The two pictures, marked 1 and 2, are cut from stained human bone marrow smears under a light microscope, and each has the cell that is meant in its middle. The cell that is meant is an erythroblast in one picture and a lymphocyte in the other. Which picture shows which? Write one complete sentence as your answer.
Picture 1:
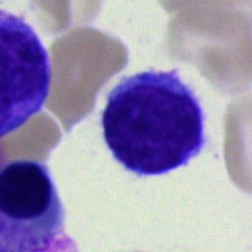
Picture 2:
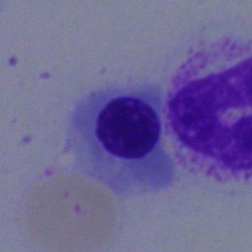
Picture 2 shows an erythroblast, while picture 1 shows a lymphocyte.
